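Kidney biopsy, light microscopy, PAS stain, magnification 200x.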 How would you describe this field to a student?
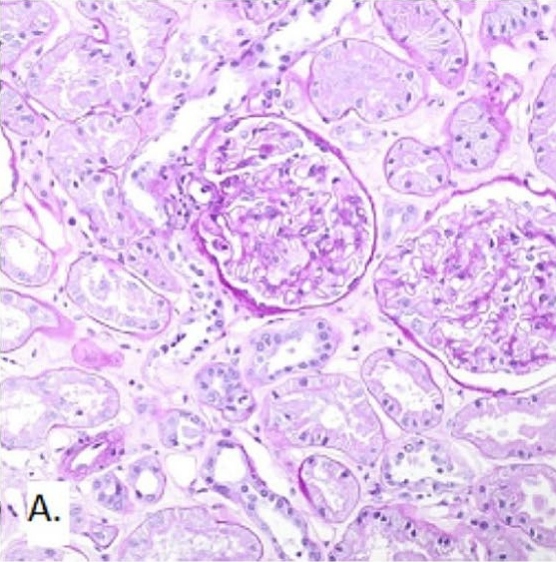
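This section of renal cortex stained pink and purple shows two glomeruli surrounded by many tubules. Each glomerulus is a rounded tuft of looping capillaries enclosed by a thin magenta capsule with a narrow clear space between tuft and capsule. The capillary walls stand out as magenta lines, only mildly thickened. Thin interstitium with small vessels separates the tubules.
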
